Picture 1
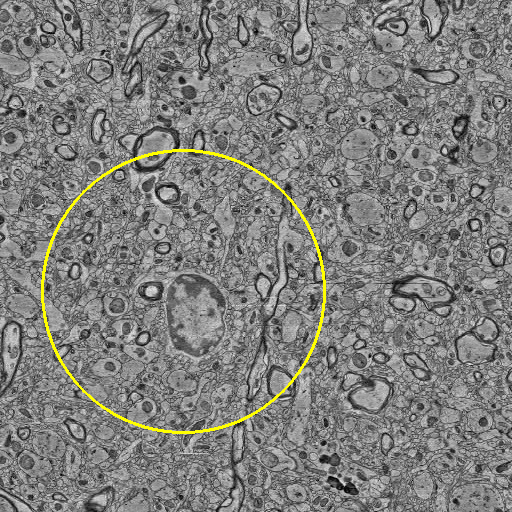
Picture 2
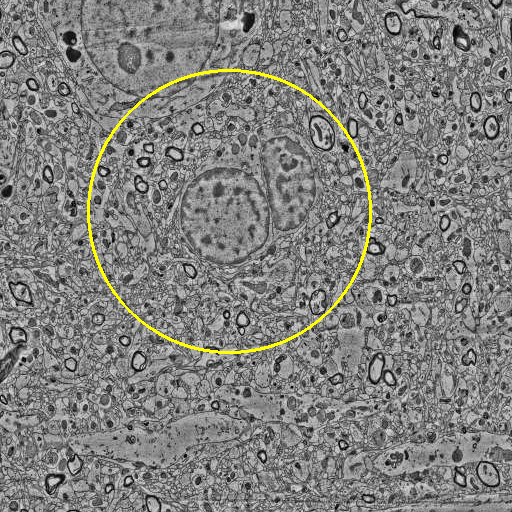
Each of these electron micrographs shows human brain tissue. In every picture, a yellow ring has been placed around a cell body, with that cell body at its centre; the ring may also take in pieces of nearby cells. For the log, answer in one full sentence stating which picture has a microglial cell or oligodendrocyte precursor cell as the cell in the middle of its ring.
In picture 1, the cell at the centre of the yellow ring is the requested one.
